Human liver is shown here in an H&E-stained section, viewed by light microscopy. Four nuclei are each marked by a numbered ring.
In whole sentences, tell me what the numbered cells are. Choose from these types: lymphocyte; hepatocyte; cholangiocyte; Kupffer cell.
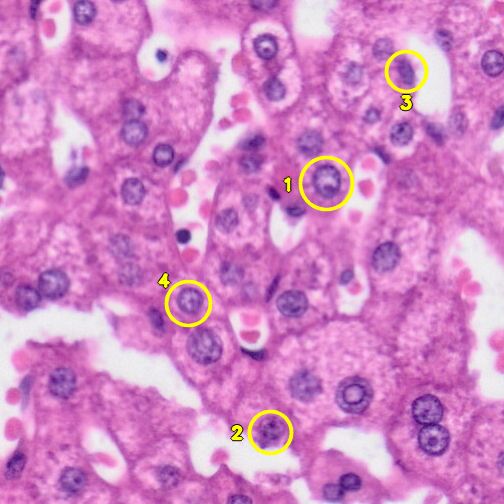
Cells 1, 2 and 4 are hepatocytes. Cell 3 is a Kupffer cell.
